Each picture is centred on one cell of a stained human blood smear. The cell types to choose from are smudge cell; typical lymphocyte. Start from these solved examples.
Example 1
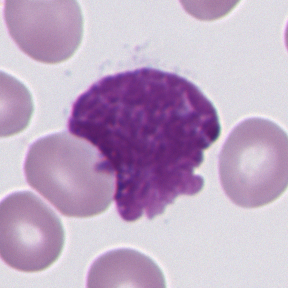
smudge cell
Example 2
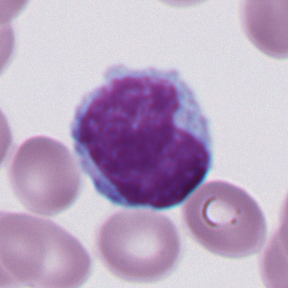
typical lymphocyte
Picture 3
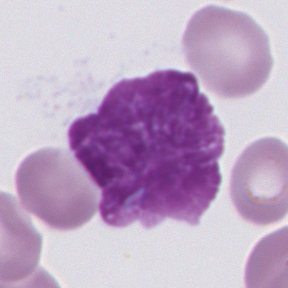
smudge cell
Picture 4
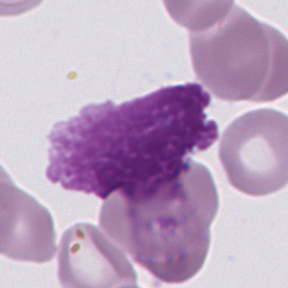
smudge cell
